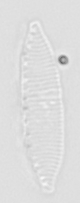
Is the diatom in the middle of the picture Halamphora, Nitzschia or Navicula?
It is Nitzschia.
